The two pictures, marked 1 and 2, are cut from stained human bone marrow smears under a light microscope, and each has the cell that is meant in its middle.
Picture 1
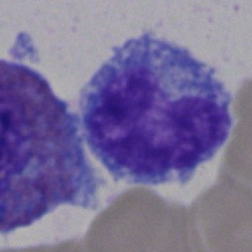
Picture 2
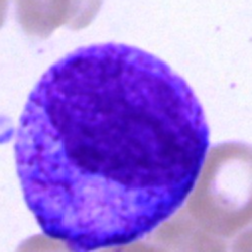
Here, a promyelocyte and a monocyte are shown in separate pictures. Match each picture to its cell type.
1: monocyte
2: promyelocyte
